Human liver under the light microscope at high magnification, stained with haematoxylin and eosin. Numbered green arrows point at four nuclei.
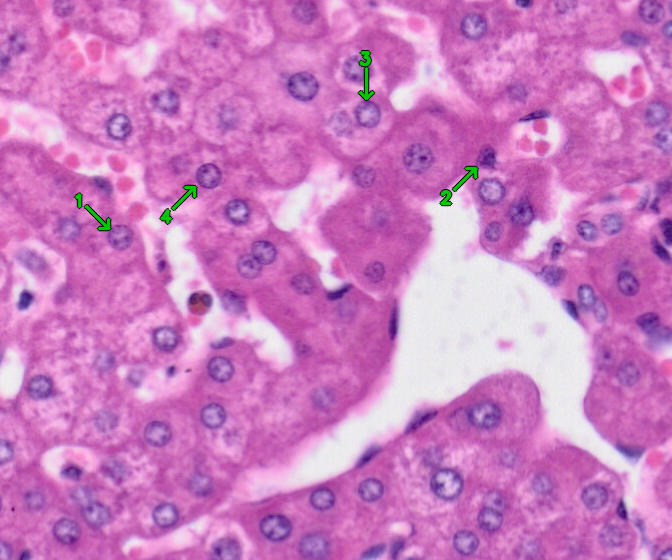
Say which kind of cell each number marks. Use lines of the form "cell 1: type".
cell 1: hepatocyte
cell 2: fibroblast or stellate cell
cell 3: hepatocyte
cell 4: hepatocyte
